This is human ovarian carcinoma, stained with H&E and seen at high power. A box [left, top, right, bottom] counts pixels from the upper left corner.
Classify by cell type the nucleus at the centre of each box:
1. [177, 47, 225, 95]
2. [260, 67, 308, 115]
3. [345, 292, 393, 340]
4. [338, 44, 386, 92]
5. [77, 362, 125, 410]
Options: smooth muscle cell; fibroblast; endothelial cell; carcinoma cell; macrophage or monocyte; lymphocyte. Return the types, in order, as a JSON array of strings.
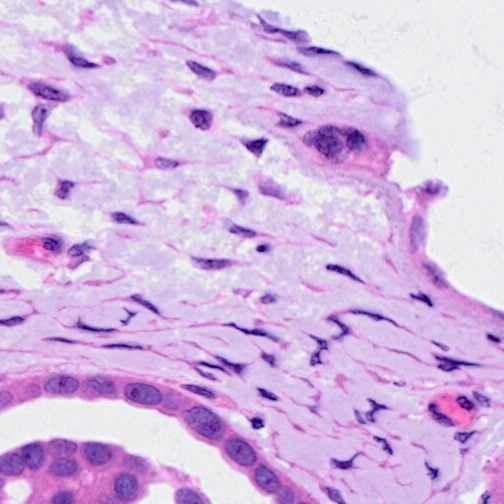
["fibroblast", "fibroblast", "fibroblast", "endothelial cell", "carcinoma cell"]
